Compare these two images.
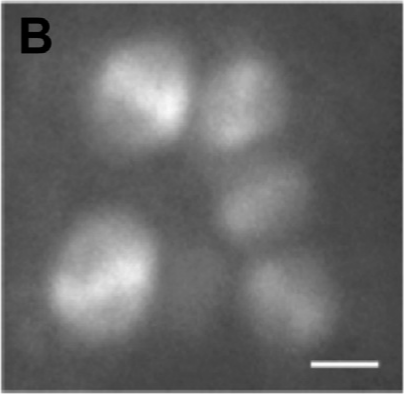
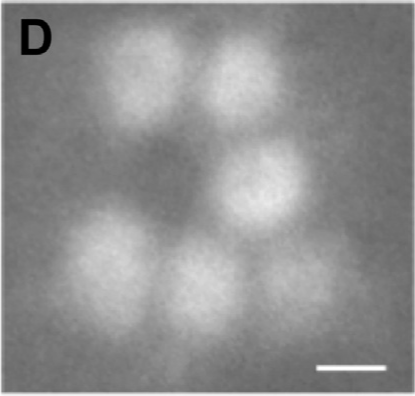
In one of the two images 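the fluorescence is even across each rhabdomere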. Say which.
the second image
